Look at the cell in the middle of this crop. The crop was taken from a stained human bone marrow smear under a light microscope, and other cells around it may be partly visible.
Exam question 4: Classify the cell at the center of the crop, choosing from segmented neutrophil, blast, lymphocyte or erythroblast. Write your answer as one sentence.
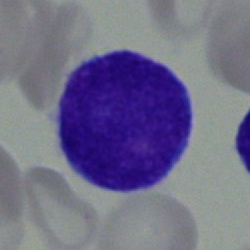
The cell occupying the middle of the crop is a blast.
